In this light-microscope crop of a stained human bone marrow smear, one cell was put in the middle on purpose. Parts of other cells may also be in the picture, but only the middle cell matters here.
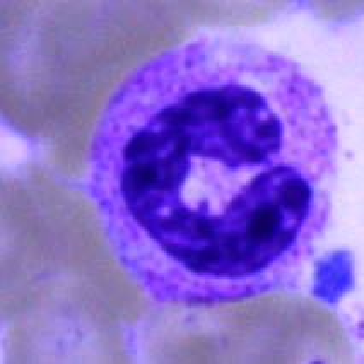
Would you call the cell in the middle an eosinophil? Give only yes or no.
no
